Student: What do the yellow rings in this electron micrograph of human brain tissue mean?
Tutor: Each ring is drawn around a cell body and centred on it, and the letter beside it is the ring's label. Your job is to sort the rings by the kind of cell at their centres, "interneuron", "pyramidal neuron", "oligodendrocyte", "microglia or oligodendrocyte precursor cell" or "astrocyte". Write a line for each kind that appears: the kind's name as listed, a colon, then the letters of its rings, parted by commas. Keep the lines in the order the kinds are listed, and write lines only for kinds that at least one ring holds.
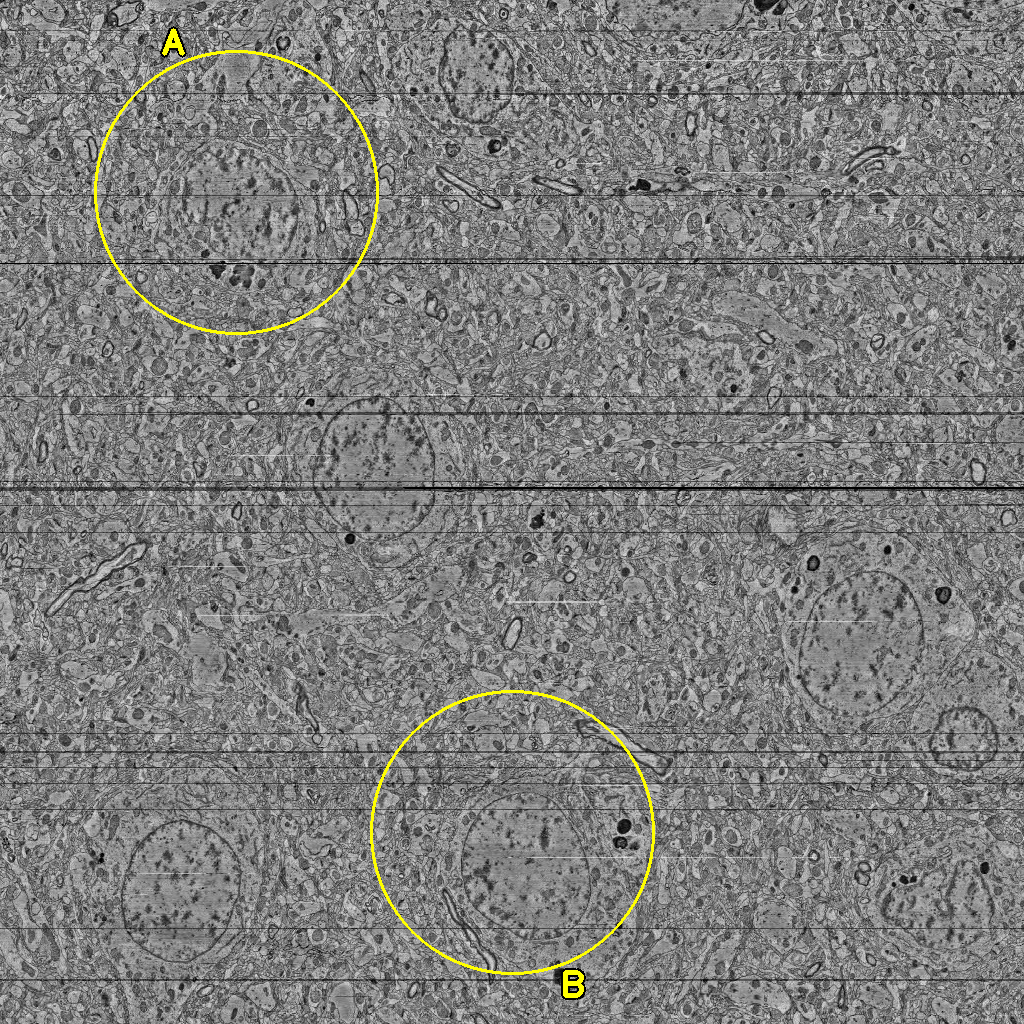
interneuron: A
pyramidal neuron: B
